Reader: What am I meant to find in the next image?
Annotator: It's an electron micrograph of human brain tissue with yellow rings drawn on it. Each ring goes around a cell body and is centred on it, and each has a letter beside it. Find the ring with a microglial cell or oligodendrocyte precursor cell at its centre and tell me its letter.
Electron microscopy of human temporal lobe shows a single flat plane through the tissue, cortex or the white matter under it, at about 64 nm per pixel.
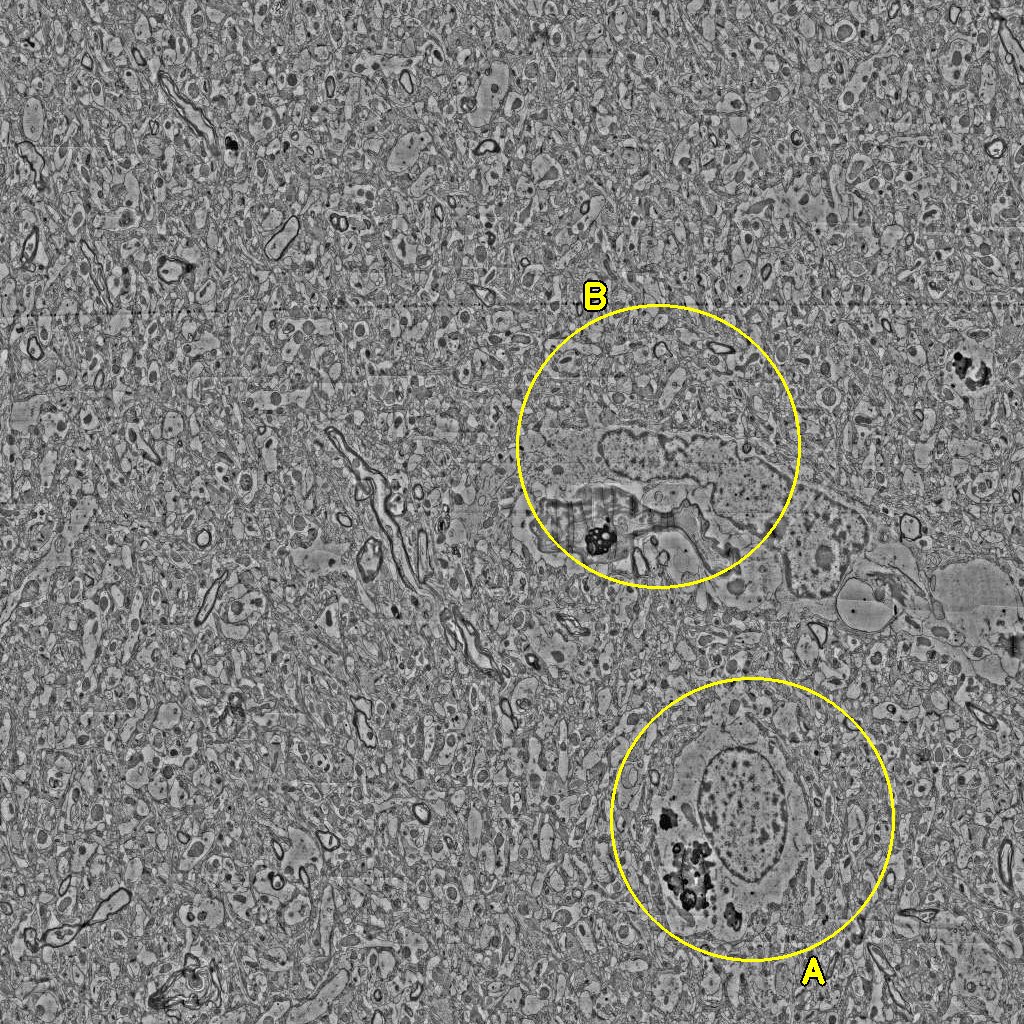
B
